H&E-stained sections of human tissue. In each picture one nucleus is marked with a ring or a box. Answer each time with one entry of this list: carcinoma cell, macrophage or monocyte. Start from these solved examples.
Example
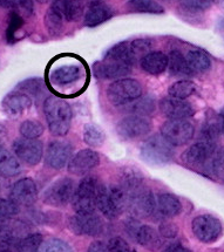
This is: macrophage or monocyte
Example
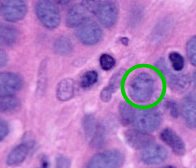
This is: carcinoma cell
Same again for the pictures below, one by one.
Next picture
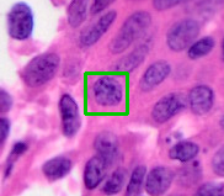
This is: macrophage or monocyte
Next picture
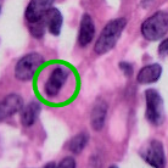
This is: macrophage or monocyte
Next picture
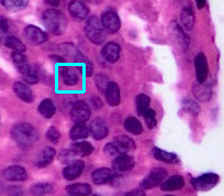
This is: carcinoma cell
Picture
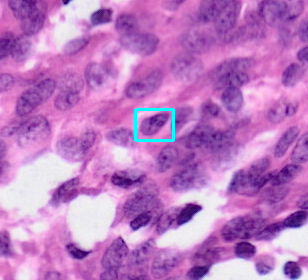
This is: macrophage or monocyte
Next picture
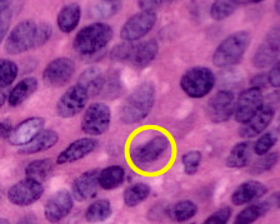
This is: carcinoma cell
